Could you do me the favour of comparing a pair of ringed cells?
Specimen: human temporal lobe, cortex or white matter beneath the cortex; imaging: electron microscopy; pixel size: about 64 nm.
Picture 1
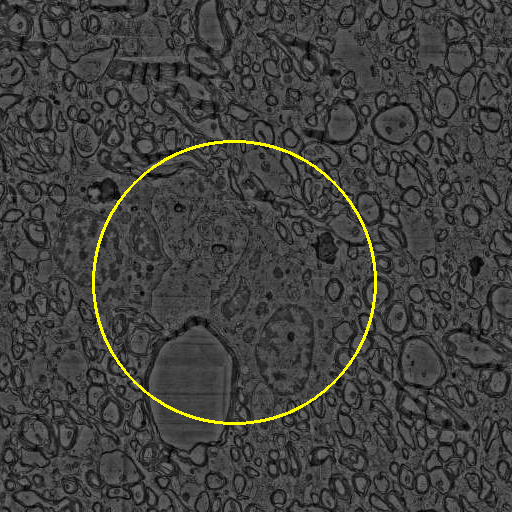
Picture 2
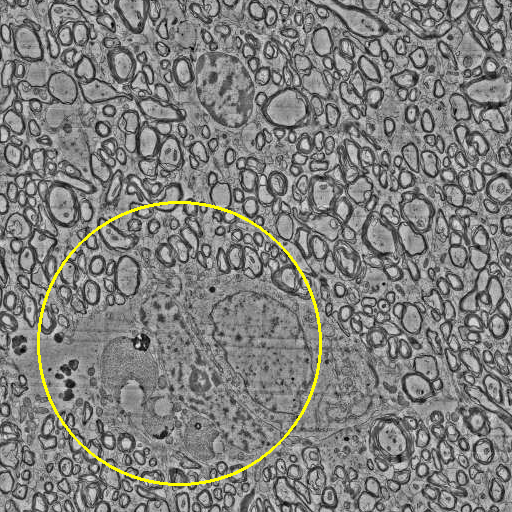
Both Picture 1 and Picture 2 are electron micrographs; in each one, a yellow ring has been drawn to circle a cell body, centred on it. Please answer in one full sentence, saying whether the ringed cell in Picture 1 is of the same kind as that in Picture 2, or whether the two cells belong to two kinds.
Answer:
The ringed cells in Picture 1 and Picture 2 belong to two kinds.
